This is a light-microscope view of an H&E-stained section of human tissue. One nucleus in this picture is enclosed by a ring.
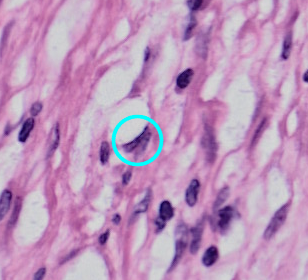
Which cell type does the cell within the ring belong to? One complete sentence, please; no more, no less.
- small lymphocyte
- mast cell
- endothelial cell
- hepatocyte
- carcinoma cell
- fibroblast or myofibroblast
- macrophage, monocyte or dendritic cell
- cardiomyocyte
The category to which the cell within the ring belongs is that of a fibroblast or myofibroblast.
